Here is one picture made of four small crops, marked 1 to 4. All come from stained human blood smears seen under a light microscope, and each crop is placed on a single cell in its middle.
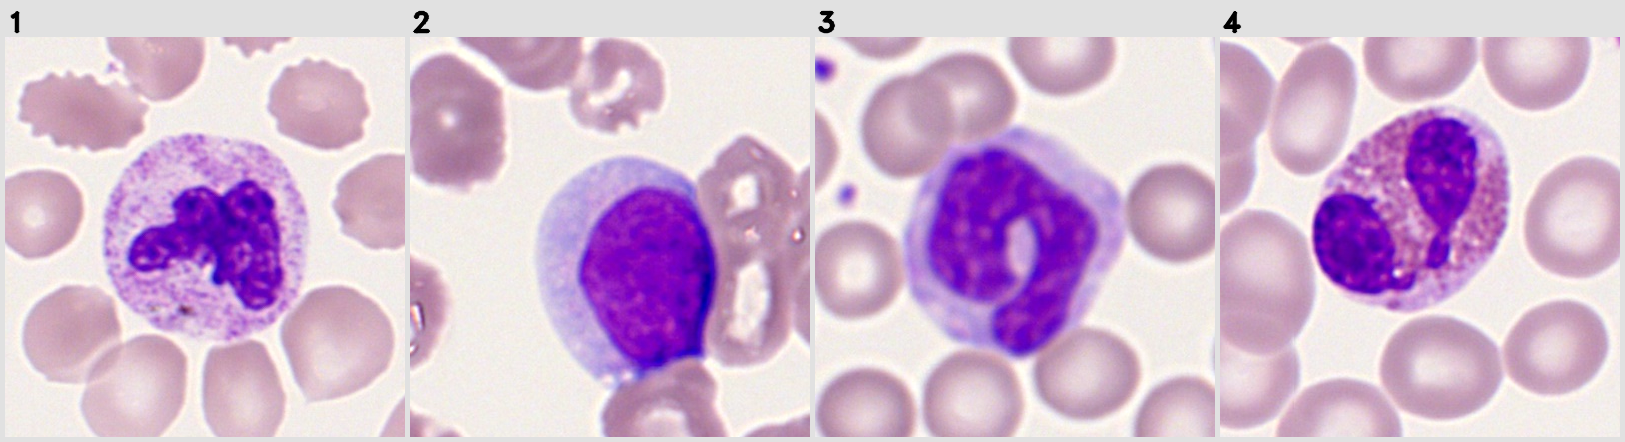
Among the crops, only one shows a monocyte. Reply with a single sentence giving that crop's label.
Crop 3 matches the request, showing a monocyte.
